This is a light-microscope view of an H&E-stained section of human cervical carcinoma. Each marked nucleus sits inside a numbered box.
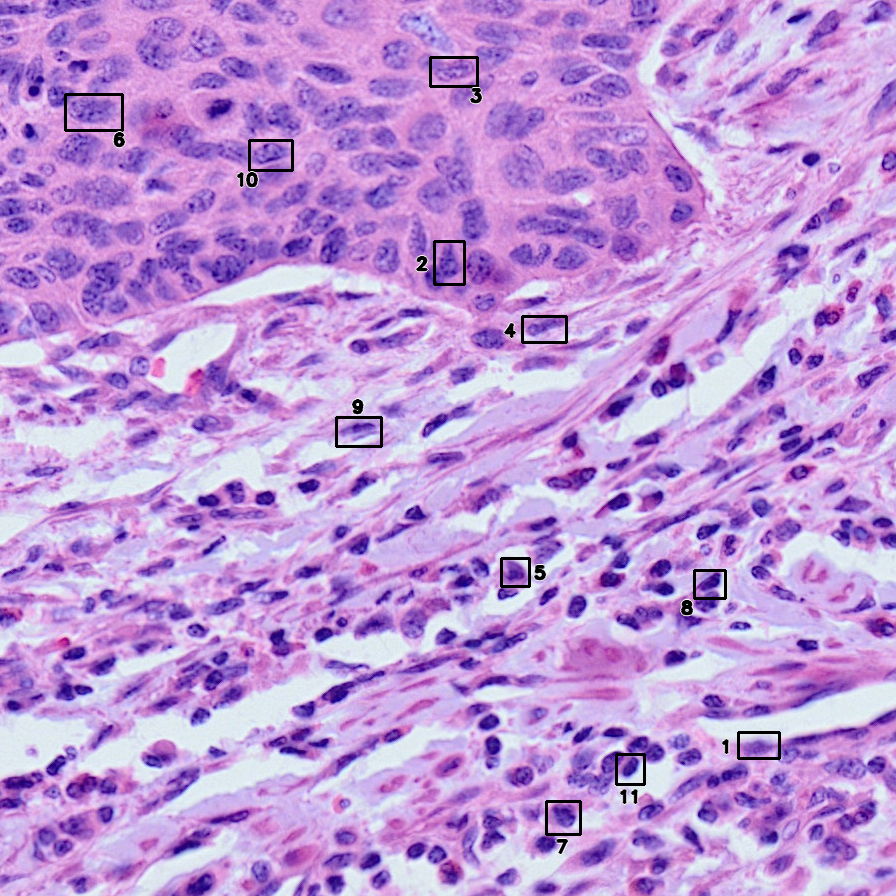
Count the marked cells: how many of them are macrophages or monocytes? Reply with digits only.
1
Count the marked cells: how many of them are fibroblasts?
2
